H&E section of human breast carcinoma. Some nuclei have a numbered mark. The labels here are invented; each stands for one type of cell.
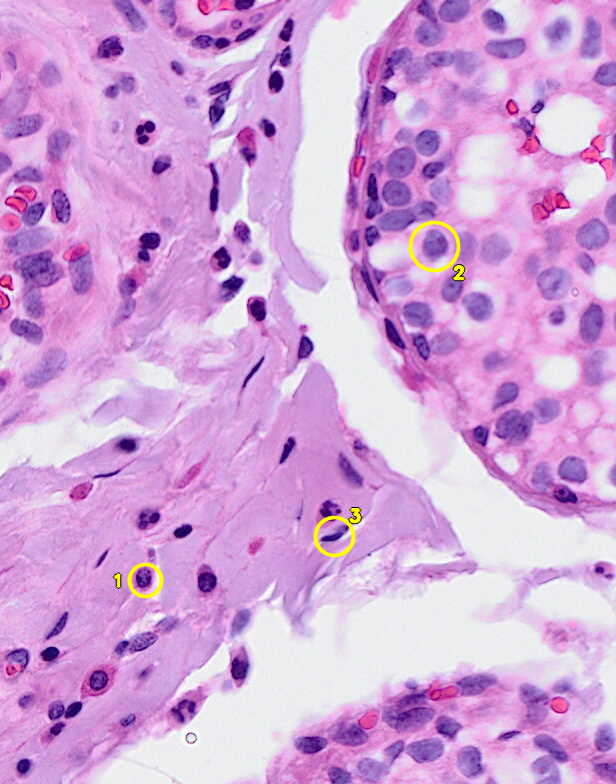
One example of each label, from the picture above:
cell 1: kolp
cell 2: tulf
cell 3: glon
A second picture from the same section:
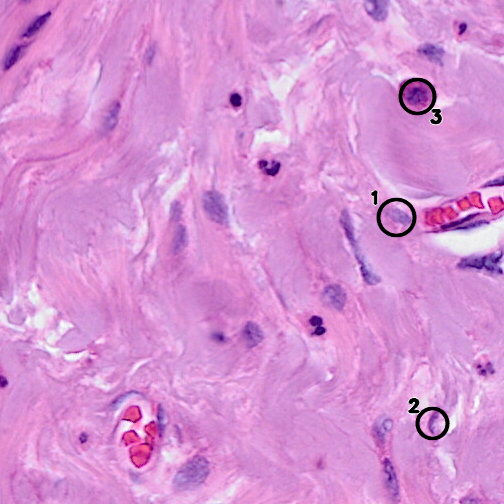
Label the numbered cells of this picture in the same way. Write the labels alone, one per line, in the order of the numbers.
glon
glon
kolp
